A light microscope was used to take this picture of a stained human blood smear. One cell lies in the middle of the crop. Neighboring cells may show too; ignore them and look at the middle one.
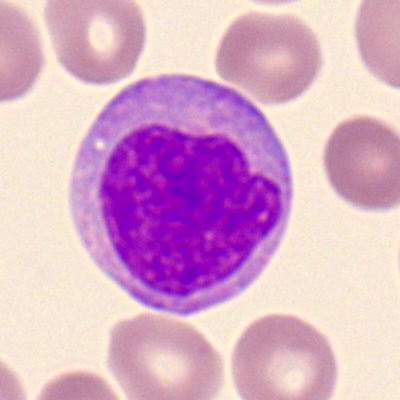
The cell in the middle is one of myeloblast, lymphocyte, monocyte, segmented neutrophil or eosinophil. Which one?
myeloblast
